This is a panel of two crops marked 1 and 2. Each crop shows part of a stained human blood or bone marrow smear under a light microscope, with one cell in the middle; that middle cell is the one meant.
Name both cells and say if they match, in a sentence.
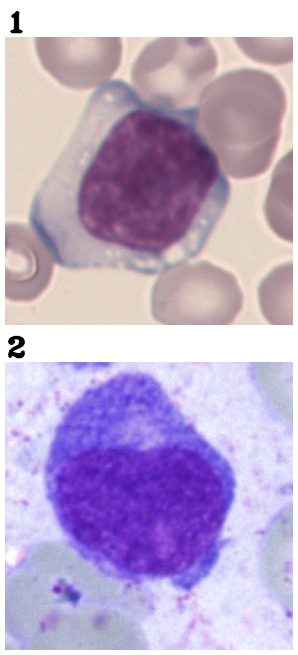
No, crop 1 is where a blast is shown, and crop 2 is where a promyelocyte is shown.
